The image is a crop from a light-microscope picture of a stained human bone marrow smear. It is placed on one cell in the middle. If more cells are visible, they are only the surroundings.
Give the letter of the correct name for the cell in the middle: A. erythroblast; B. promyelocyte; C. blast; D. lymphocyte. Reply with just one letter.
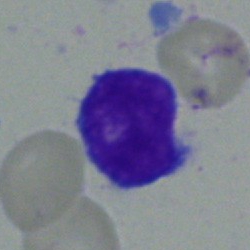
C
